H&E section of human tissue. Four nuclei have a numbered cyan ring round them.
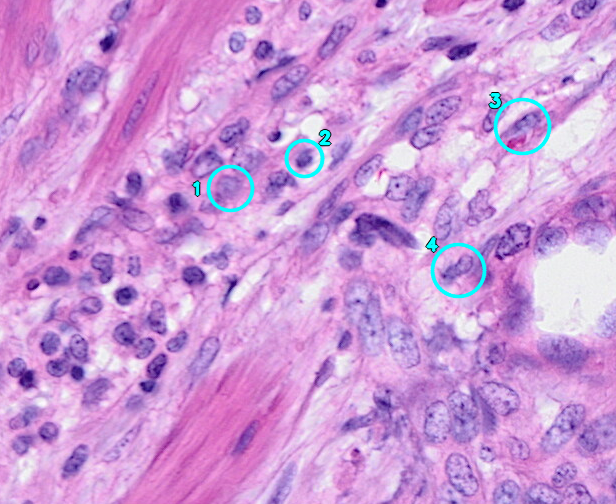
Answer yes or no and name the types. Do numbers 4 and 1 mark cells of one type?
No, that does not hold; cell 4 is a macrophage or monocyte and cell 1 is an endothelial cell.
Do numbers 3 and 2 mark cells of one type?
No, cell 3 is an endothelial cell, and cell 2, on the other hand, is a lymphocyte.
